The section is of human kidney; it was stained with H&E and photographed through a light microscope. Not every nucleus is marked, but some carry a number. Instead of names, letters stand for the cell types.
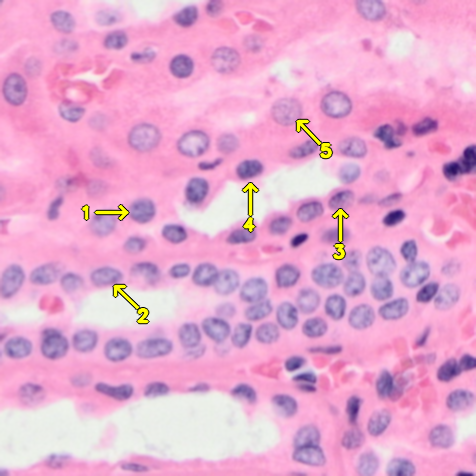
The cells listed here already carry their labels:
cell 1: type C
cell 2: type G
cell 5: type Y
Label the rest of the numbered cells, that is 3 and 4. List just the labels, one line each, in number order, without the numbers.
type C
type C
